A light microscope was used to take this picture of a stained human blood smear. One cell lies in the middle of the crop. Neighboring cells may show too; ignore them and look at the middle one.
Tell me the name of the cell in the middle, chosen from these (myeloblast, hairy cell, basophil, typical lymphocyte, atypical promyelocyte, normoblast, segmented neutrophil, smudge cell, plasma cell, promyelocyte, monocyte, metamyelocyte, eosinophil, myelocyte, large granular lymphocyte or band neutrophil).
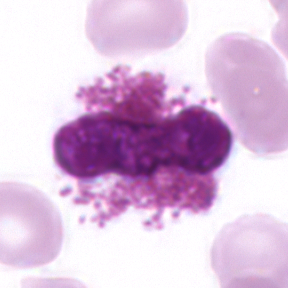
eosinophil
